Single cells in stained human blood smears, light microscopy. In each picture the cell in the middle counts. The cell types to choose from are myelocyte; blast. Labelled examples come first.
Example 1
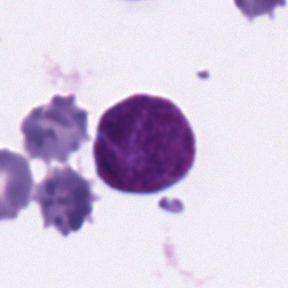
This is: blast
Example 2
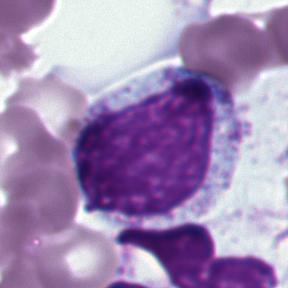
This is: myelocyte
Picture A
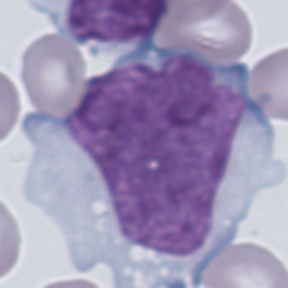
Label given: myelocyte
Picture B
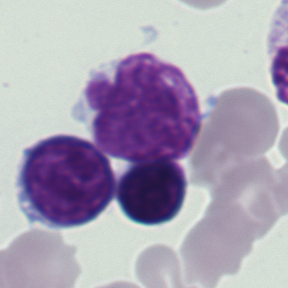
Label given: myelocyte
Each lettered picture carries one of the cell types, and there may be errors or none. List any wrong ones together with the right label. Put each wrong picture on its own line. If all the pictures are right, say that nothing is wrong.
A: not myelocyte but blast
B: not myelocyte but blast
